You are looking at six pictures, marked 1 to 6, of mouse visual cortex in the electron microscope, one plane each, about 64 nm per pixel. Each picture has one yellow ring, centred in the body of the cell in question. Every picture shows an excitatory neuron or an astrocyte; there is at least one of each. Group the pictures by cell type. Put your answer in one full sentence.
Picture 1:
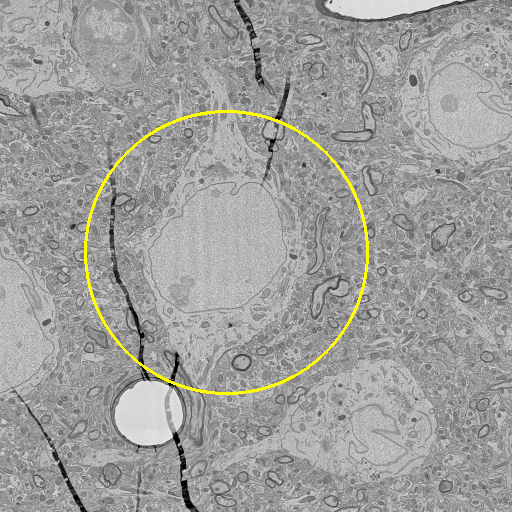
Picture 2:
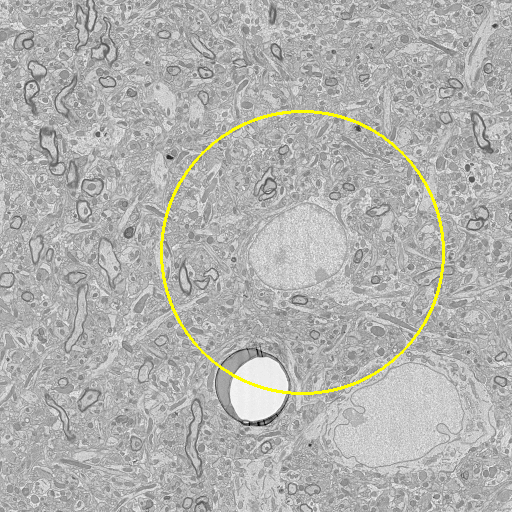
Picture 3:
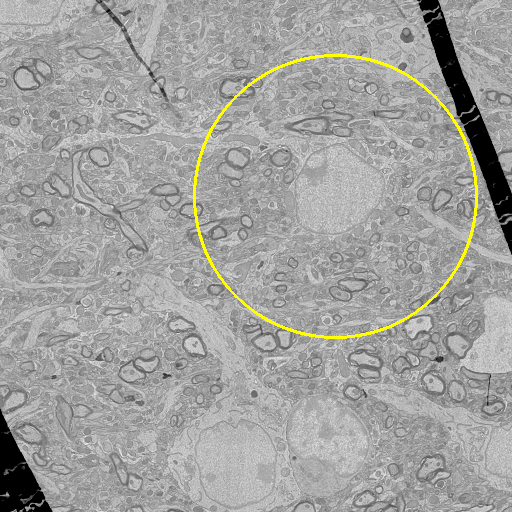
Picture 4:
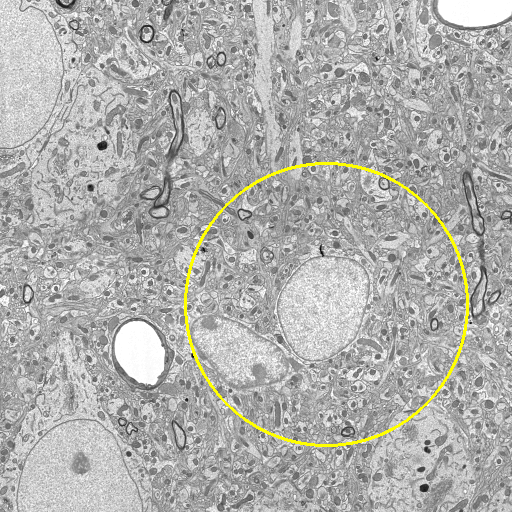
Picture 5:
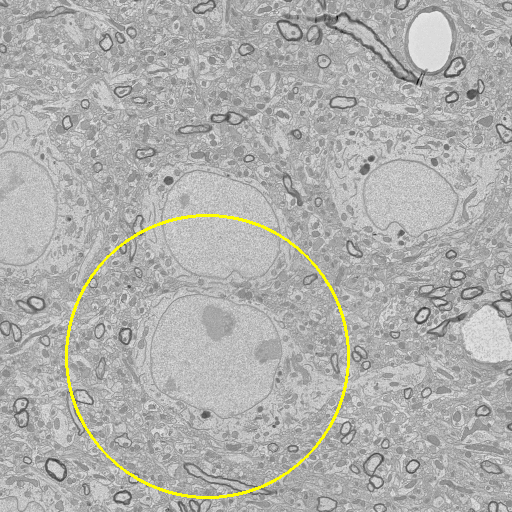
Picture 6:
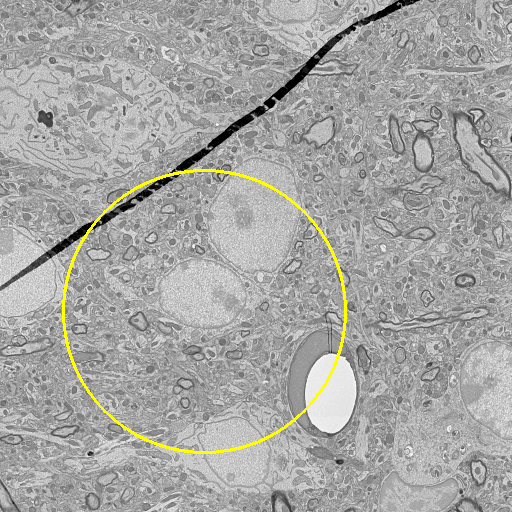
Pictures 1 and 5 show excitatory neurons, while pictures 2, 3, 4 and 6 show astrocytes.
